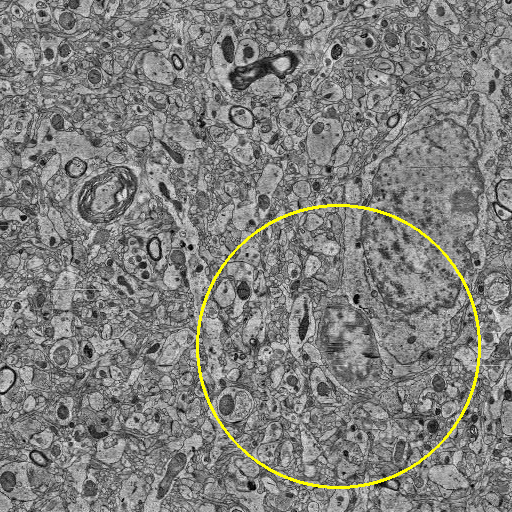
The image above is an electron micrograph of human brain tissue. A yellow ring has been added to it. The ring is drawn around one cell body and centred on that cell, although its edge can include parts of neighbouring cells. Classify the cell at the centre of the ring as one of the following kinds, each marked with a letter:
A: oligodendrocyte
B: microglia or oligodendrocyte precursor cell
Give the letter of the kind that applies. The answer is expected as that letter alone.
A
